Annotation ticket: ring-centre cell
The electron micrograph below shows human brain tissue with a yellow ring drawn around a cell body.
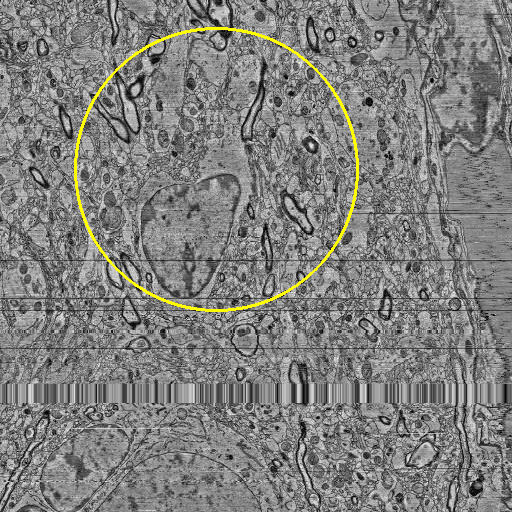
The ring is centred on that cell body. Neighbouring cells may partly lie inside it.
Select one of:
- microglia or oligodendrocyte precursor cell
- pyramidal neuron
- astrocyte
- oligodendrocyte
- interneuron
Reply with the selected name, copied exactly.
microglia or oligodendrocyte precursor cell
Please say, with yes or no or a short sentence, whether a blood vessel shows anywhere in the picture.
Yes, a blood vessel can be seen.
